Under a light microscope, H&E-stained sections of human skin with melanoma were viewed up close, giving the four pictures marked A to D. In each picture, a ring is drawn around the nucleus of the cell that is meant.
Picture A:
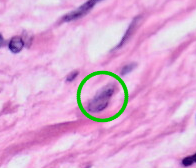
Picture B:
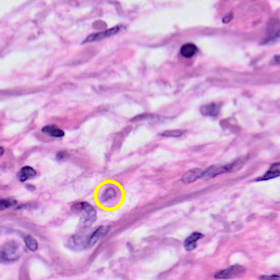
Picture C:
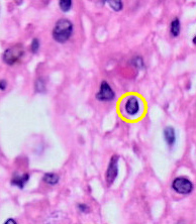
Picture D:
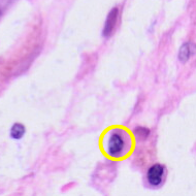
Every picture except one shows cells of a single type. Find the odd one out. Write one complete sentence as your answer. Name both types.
The others show “macrophages or monocytes”, but picture C shows a lymphocyte.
